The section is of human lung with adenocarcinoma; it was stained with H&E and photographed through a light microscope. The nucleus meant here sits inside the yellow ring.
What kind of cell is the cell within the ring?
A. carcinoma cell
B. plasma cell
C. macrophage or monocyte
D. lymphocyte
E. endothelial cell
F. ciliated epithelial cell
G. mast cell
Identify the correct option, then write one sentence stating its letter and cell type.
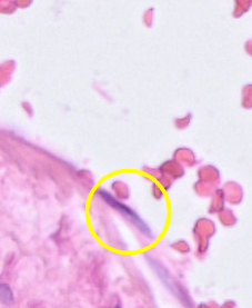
Option E gives the correct identity of the cell within the ring, which is an endothelial cell.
